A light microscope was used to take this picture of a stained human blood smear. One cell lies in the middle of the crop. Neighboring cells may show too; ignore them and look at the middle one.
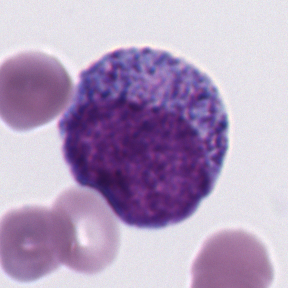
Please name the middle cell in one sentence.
Classification of the middle cell gives a myelocyte.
